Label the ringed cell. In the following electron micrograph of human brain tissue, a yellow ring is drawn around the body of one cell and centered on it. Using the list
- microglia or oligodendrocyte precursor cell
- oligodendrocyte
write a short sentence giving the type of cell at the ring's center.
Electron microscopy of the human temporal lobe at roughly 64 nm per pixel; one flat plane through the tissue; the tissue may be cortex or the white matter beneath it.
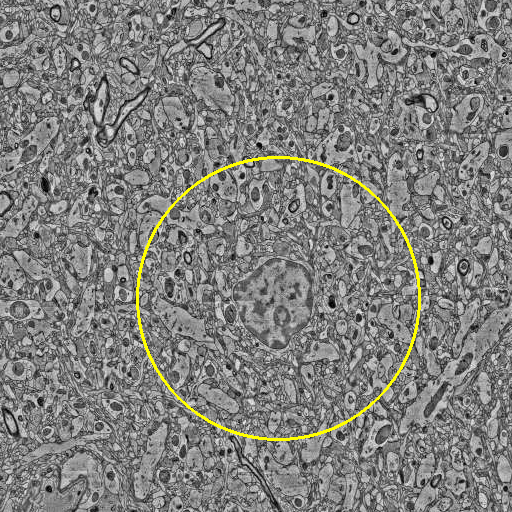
The cell body at the ring's center is that of a microglial cell or oligodendrocyte precursor cell.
